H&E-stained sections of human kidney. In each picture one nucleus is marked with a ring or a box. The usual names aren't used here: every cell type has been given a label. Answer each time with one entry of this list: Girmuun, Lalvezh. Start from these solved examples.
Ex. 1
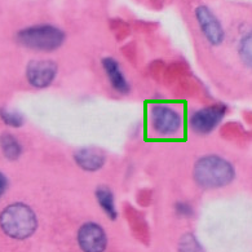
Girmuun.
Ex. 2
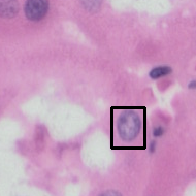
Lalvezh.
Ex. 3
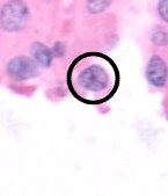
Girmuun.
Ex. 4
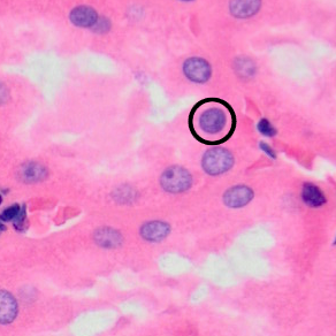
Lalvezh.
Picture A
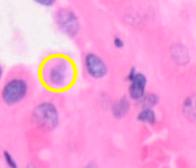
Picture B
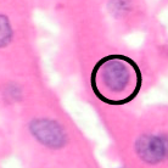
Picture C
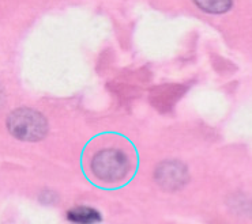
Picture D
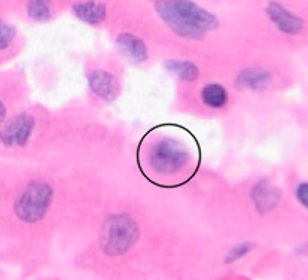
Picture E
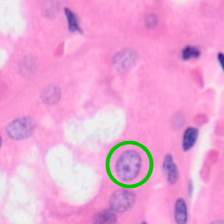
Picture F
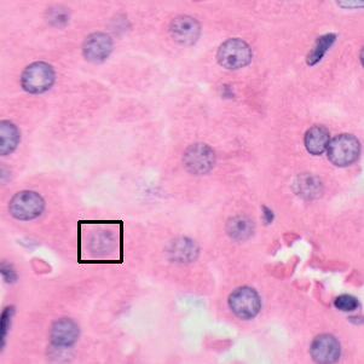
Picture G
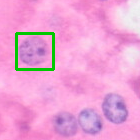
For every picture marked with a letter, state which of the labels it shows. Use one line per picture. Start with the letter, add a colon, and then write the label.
A: Girmuun.
B: Lalvezh.
C: Lalvezh.
D: Girmuun.
E: Lalvezh.
F: Lalvezh.
G: Lalvezh.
